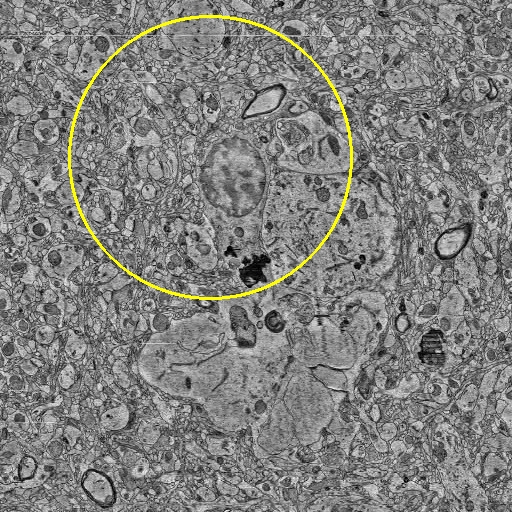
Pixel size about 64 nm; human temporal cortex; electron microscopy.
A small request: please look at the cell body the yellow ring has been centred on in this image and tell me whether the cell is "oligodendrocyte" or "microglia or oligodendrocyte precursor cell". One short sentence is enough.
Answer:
The cell marked by the ring is an oligodendrocyte.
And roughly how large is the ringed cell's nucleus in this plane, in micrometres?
In this plane, roughly 5 by 4 micrometres.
